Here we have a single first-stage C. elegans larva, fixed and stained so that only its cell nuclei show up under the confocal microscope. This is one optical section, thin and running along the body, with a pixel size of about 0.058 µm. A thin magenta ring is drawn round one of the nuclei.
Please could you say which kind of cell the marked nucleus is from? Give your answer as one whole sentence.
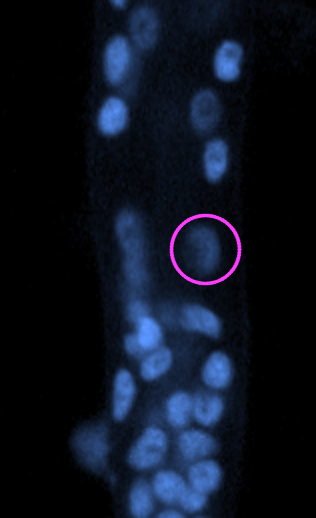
The cell with the marked nucleus is an intestinal cell.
